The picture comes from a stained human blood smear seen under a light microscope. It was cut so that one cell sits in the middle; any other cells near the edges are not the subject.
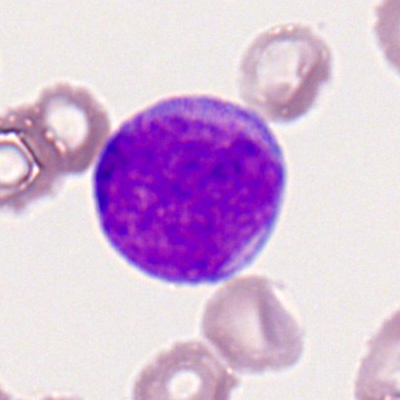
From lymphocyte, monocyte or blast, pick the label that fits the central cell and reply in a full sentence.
As for the central cell, it is a blast.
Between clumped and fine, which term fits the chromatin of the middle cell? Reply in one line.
The chromatin pattern is fine and free of coarse clumps.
